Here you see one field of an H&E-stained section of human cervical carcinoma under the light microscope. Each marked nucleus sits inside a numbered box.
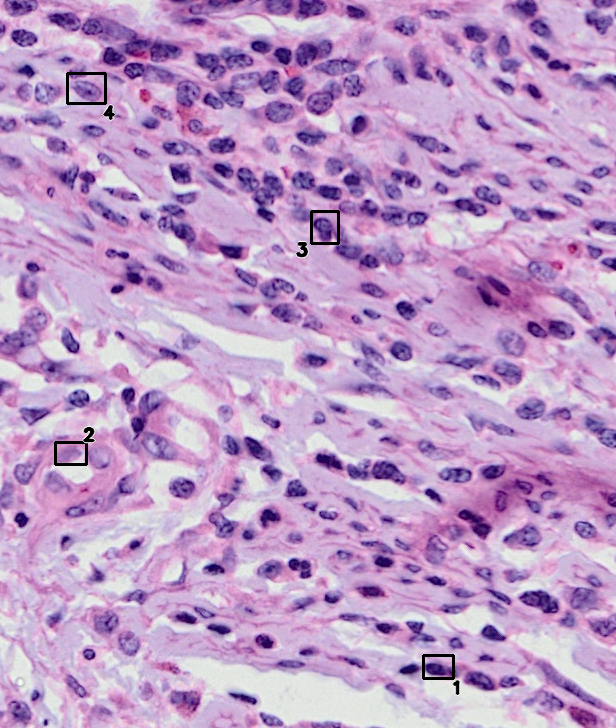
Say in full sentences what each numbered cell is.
Cell 1 is a lymphocyte, cell 2 is an endothelial cell, cell 3 is a lymphocyte and cell 4 is a macrophage or monocyte.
